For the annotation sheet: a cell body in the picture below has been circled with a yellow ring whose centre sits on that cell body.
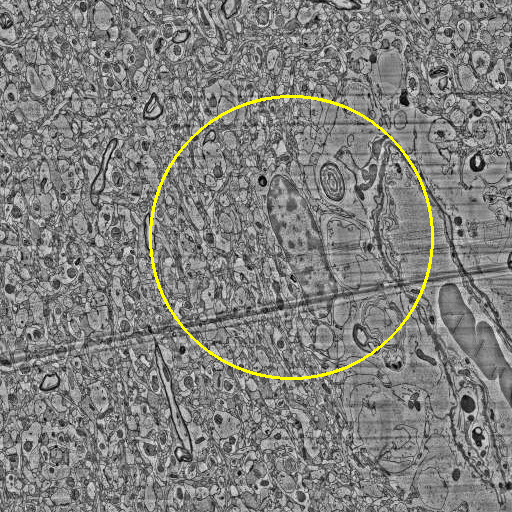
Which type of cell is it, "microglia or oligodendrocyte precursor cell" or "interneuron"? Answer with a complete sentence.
The circled cell is a microglial cell or oligodendrocyte precursor cell.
